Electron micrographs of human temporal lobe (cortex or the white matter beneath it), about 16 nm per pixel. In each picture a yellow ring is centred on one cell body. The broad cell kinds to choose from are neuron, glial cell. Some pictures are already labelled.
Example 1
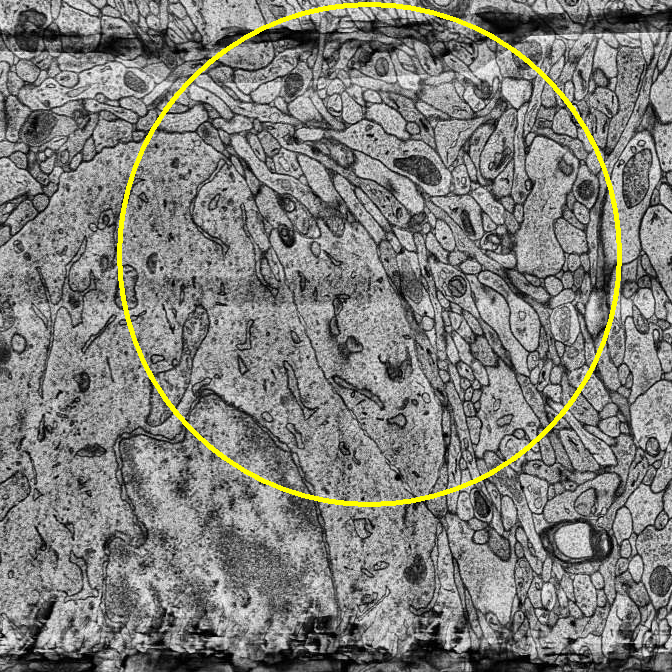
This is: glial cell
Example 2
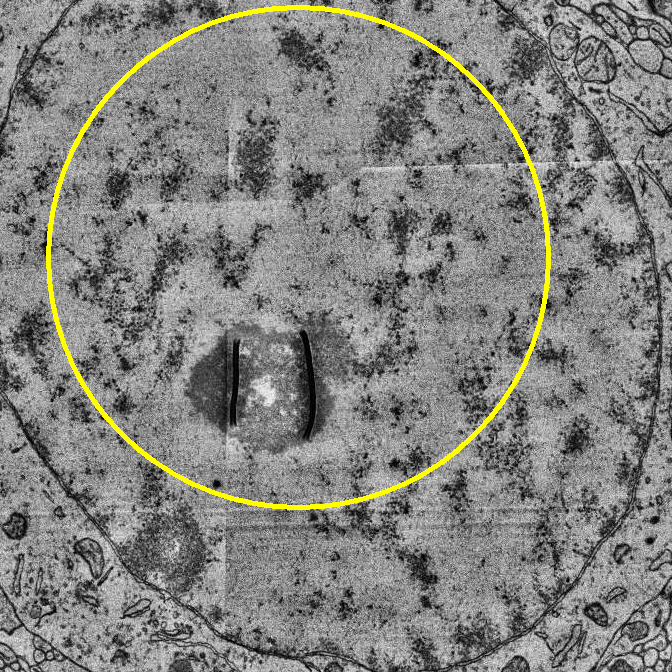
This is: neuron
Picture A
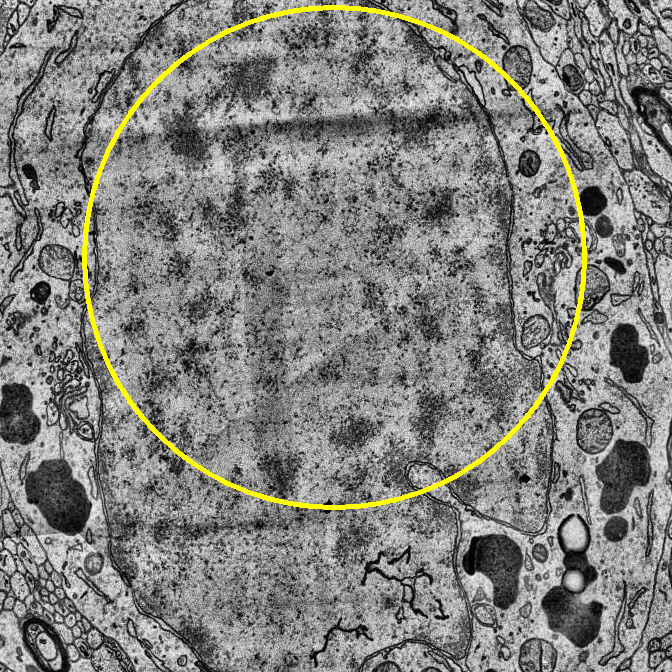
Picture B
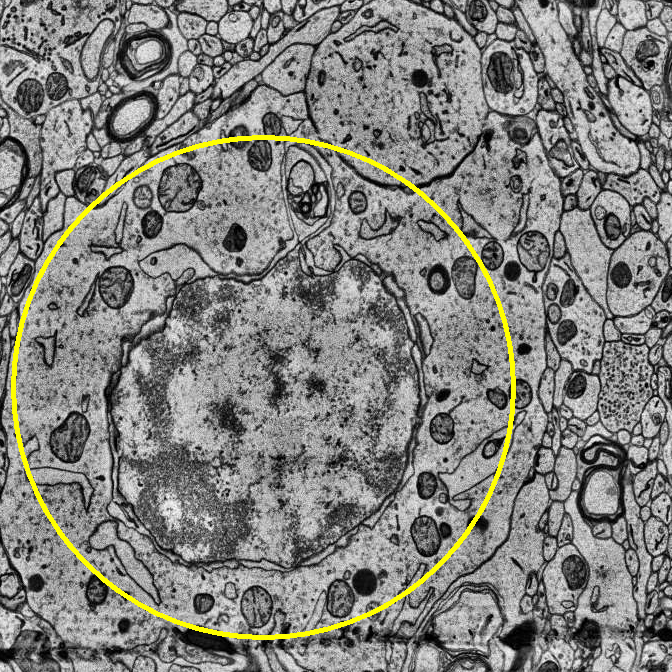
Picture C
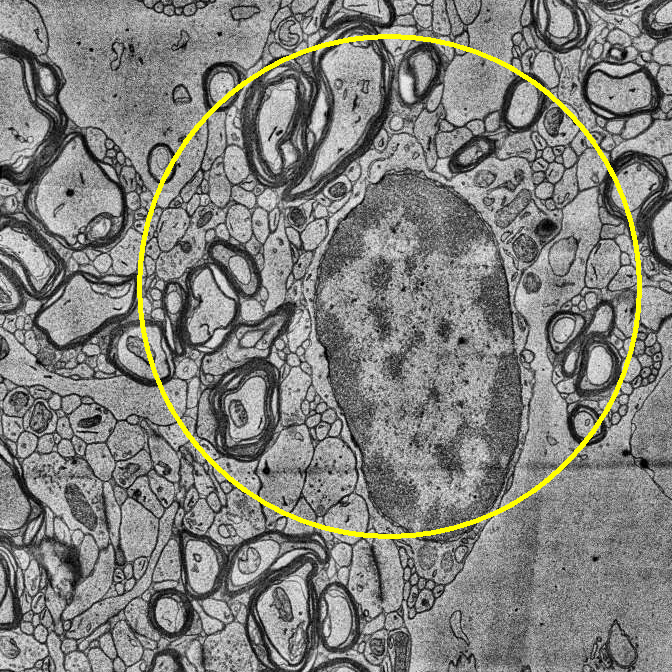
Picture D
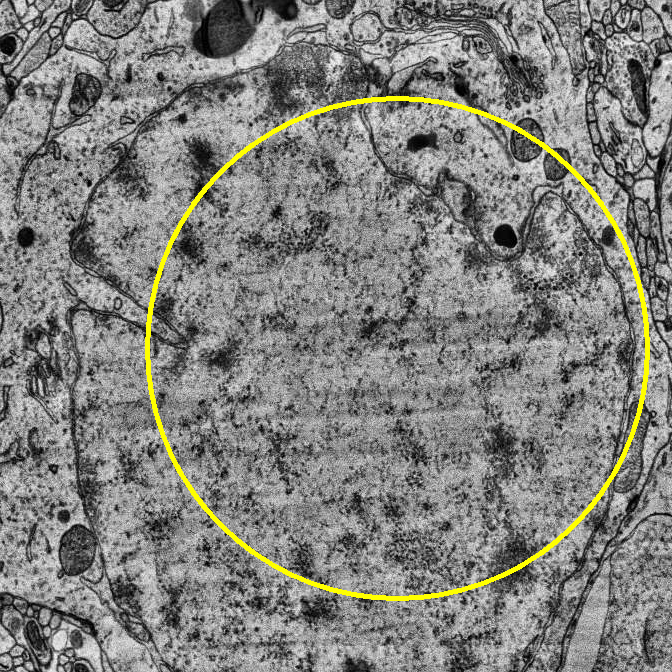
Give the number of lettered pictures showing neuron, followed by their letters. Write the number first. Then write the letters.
3, namely A, B, D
